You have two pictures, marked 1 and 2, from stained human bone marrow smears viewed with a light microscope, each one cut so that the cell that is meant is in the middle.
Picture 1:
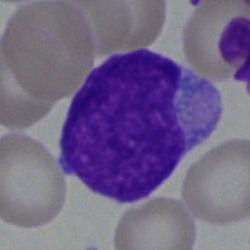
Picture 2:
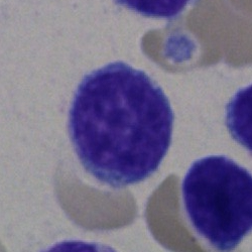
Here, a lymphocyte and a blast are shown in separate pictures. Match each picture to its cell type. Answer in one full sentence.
Picture 1 is of a blast, and picture 2 is of a lymphocyte.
